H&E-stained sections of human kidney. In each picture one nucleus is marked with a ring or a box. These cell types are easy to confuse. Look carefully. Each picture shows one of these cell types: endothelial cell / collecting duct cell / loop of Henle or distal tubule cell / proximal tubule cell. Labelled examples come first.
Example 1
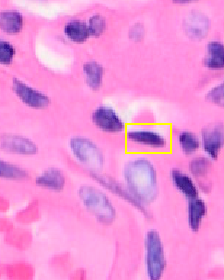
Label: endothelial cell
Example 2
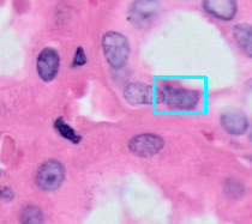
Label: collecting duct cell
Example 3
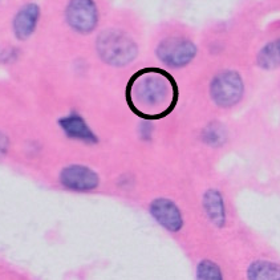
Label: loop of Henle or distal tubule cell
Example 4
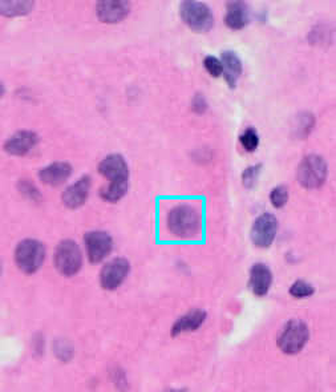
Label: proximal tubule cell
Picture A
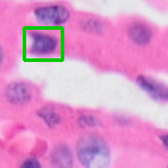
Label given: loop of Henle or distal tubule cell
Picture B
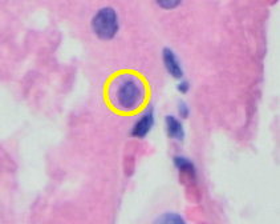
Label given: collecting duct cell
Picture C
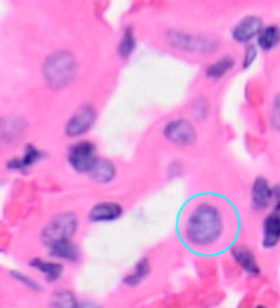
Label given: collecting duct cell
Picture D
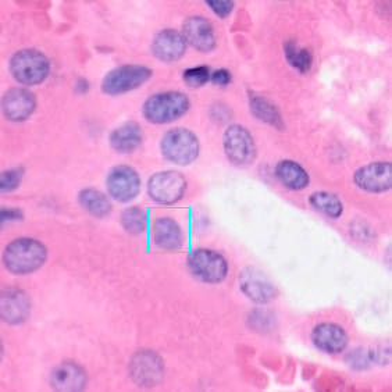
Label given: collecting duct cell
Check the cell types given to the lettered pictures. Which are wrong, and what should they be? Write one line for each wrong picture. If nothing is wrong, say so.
B: proximal tubule cell, not collecting duct cell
